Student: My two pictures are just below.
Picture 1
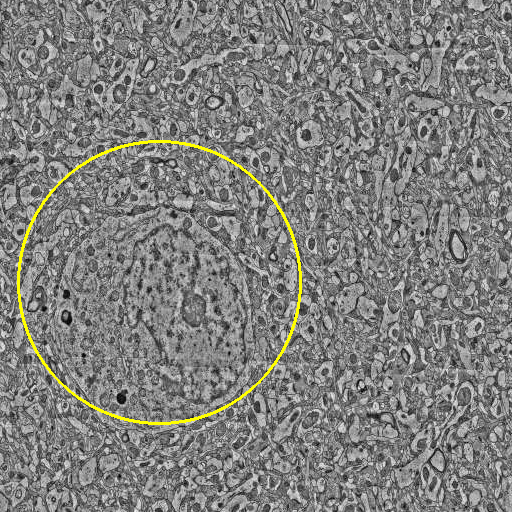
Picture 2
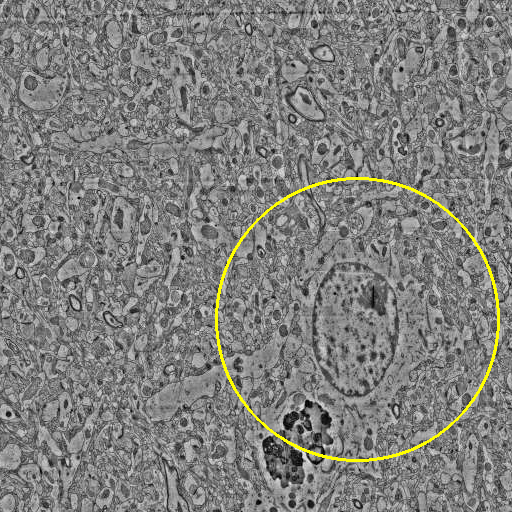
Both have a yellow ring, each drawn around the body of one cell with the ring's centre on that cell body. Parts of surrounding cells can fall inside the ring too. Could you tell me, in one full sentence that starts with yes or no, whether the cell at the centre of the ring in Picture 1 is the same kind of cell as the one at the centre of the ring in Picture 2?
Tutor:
No, the two cells are of two kinds.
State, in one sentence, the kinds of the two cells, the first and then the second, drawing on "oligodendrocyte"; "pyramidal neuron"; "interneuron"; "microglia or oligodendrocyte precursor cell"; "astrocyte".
The ring in the second picture is centred on an astrocyte, the ring in the first on an interneuron.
